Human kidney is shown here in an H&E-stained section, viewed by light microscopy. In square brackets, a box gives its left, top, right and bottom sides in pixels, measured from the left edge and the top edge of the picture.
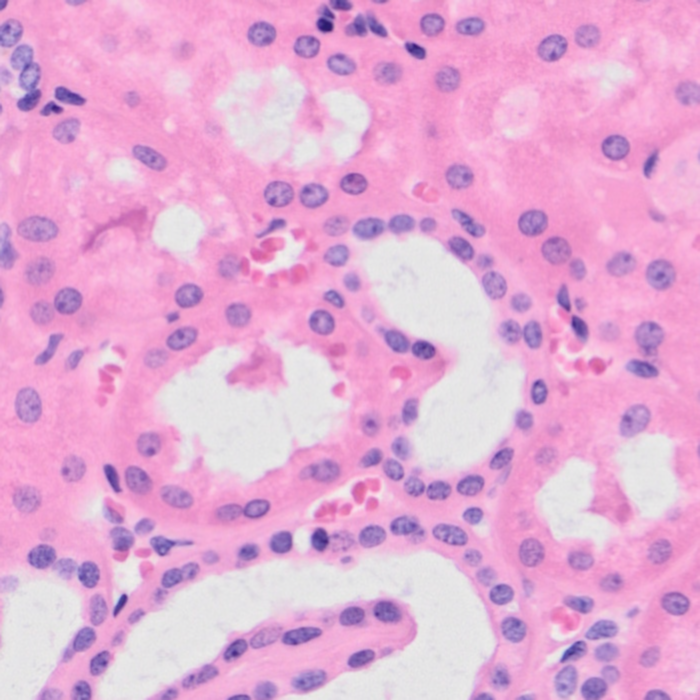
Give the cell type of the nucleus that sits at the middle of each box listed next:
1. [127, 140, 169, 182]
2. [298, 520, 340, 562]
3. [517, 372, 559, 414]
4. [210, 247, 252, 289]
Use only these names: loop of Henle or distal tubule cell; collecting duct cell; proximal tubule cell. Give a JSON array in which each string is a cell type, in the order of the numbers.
["proximal tubule cell", "collecting duct cell", "collecting duct cell", "proximal tubule cell"]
